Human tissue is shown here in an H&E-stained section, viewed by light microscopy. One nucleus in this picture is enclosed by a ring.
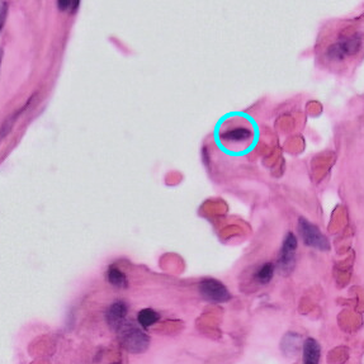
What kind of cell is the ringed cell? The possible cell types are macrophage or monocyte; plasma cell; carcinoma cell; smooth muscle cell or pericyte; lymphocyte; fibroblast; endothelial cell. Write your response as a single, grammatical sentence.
At the level of cell identity, the ringed cell is an endothelial cell.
